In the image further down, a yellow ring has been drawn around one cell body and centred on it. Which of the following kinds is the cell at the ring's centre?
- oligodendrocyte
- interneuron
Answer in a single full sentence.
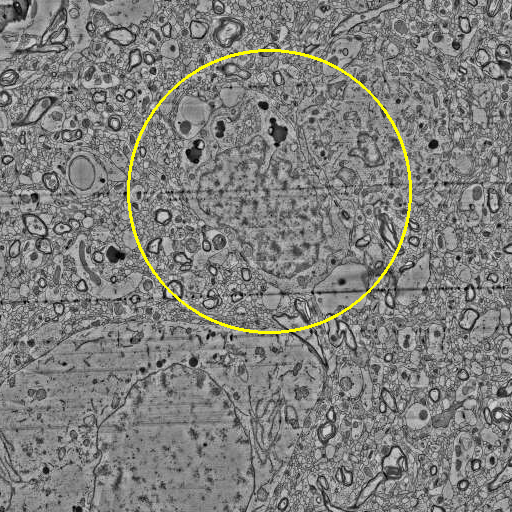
In the picture, the cell sitting at the centre of the yellow ring is an interneuron.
